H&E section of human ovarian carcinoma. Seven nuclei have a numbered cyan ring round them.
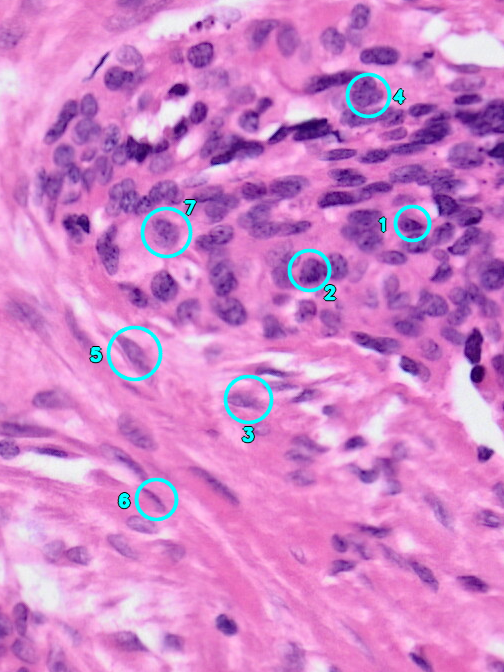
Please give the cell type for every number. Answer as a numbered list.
1. carcinoma cell
2. carcinoma cell
3. fibroblast
4. carcinoma cell
5. fibroblast
6. fibroblast
7. carcinoma cell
